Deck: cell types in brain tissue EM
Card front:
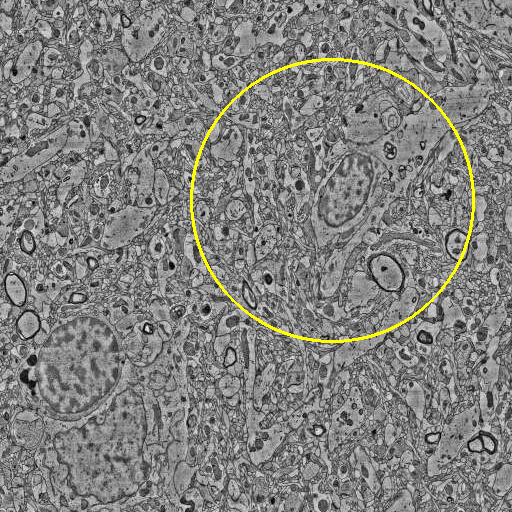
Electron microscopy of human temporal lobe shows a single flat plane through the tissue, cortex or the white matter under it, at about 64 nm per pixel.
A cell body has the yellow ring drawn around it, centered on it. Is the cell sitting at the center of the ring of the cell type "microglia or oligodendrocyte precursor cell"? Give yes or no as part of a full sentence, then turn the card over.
Yes, on this card the yellow ring is centered on a cell of that type.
